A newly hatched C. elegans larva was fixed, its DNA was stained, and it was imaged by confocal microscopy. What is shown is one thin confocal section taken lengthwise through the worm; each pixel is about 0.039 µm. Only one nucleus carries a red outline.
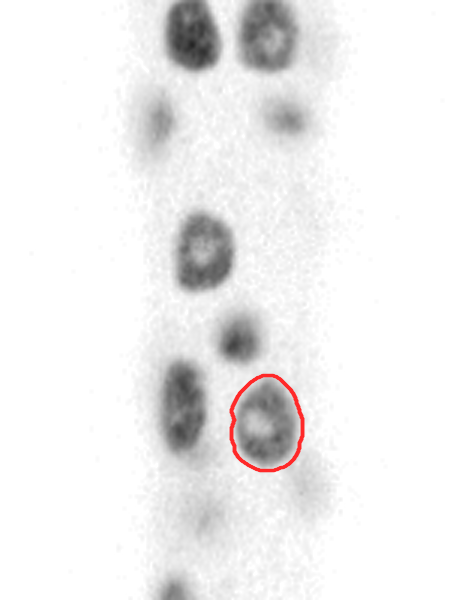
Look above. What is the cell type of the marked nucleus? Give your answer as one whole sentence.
The marked nucleus belongs to a hypodermal cell (hyp).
